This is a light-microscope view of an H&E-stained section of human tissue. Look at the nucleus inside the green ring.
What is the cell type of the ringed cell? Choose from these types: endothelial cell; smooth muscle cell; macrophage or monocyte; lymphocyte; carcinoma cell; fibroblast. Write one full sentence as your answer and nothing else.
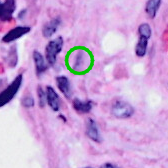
In the tissue at hand, the ringed cell is a fibroblast.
